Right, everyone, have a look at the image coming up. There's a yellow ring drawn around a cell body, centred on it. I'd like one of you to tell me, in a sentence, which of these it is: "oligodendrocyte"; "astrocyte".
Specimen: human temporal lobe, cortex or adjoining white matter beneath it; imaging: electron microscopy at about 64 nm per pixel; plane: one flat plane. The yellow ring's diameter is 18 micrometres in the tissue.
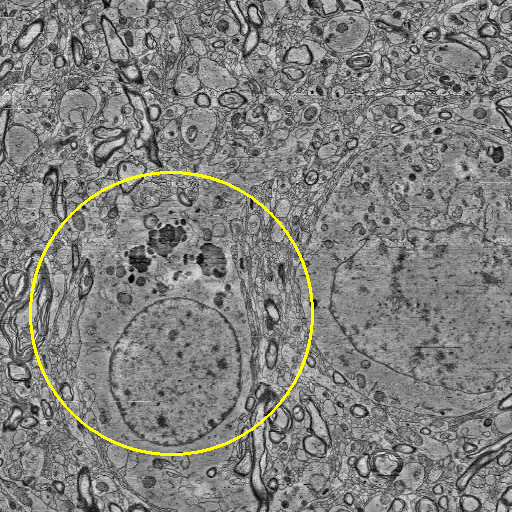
The yellow ring sits on an astrocyte.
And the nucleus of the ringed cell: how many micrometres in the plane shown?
In this plane, the nucleus is roughly 10 by 8 micrometres.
